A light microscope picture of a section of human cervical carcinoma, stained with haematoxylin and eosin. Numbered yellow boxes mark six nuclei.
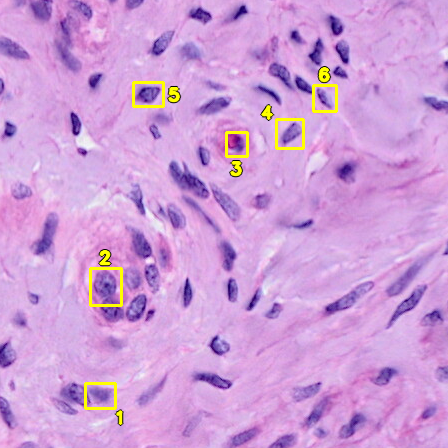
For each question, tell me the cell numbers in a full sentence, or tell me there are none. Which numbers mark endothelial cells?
The numbers 2 and 3 refer to cells that are endothelial cells.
